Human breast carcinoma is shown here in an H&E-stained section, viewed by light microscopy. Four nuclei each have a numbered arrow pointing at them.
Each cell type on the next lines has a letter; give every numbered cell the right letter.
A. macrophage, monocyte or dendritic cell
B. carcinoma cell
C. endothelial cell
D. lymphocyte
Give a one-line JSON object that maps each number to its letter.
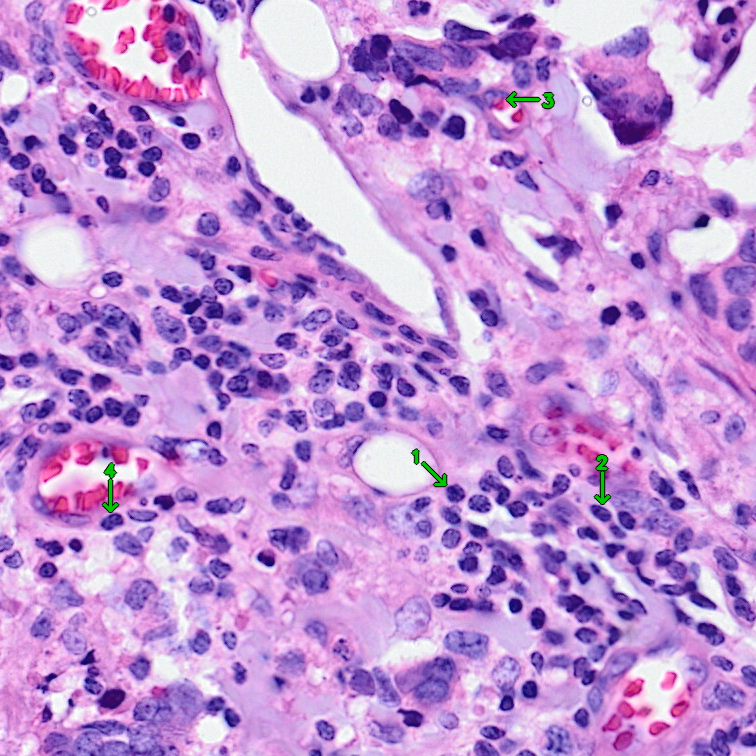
{"1": "D", "2": "D", "3": "C", "4": "D"}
